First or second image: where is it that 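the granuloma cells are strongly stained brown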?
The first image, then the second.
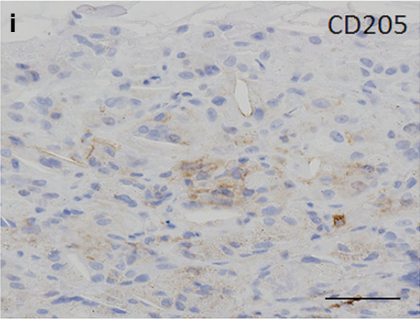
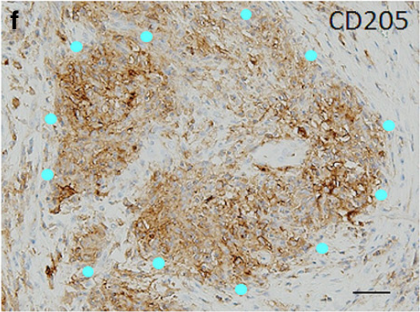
The second image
